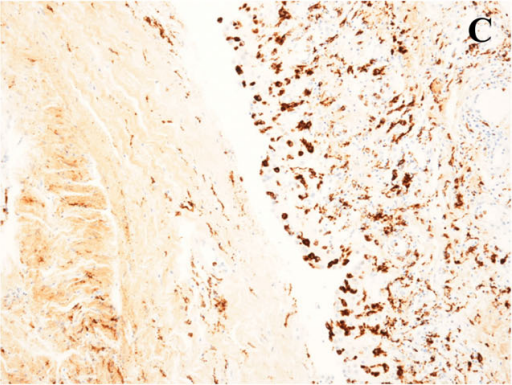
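On the right, within a cellular area, numerous brown cells are scattered densely. On the left lies a band of fibrous tissue with a diffuse, lighter brown tint and fewer, scattered darker brown cells. A clear gap separates the two areas. The brown cells are most crowded near the surface of the right-hand tissue.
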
